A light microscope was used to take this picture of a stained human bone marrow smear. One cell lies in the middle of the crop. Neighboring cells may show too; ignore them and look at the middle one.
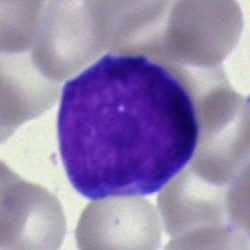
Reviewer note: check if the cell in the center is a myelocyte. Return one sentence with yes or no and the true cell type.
No, mark the middle cell as a blast, not a myelocyte.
